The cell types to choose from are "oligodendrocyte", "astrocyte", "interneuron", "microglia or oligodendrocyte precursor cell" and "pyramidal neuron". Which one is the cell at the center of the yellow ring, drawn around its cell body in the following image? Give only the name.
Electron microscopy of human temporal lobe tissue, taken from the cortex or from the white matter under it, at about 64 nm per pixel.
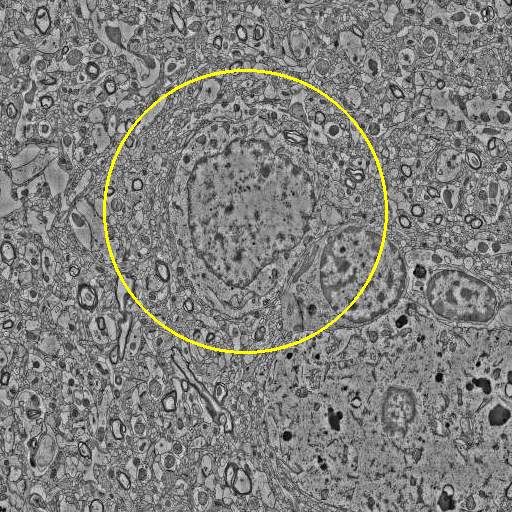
interneuron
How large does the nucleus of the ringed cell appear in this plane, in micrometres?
About 9 by 8 micrometers, in this plane.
